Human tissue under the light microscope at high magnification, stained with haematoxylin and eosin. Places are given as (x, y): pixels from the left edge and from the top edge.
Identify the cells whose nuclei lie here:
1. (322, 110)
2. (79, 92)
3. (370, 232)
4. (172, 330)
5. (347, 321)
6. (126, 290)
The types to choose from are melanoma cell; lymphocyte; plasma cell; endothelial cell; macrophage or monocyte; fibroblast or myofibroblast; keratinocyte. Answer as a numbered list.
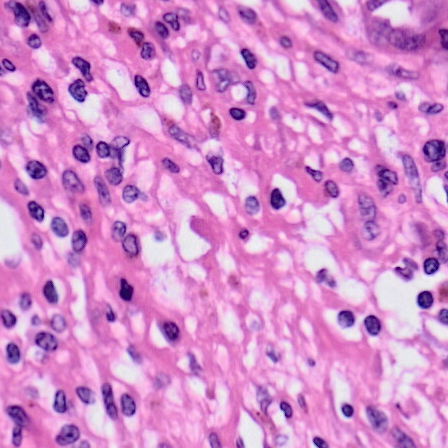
1. fibroblast or myofibroblast
2. lymphocyte
3. endothelial cell
4. plasma cell
5. lymphocyte
6. plasma cell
